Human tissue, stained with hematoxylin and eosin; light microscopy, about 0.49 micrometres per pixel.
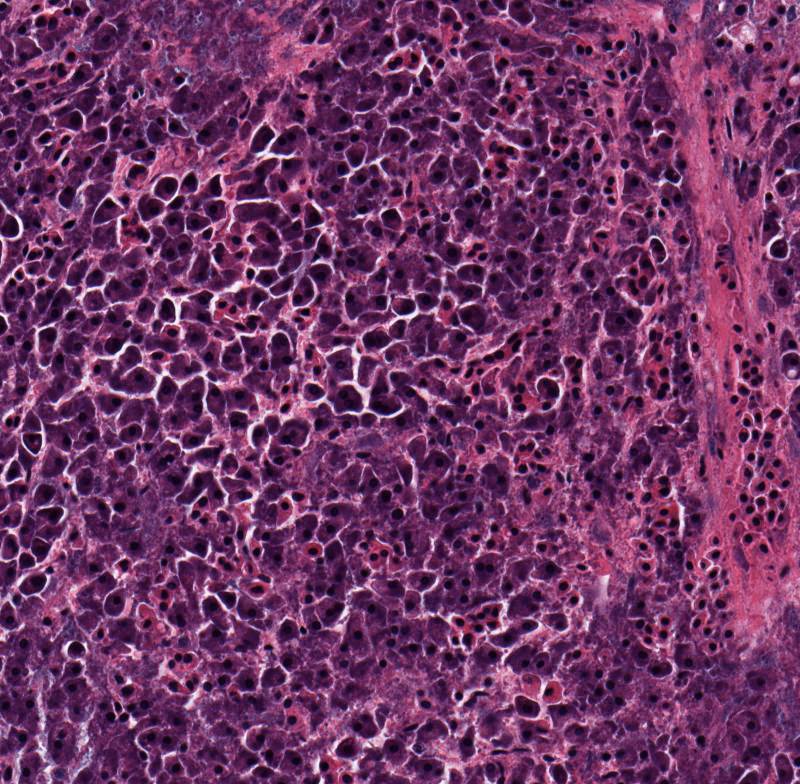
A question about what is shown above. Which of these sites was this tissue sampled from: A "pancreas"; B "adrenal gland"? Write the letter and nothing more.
B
